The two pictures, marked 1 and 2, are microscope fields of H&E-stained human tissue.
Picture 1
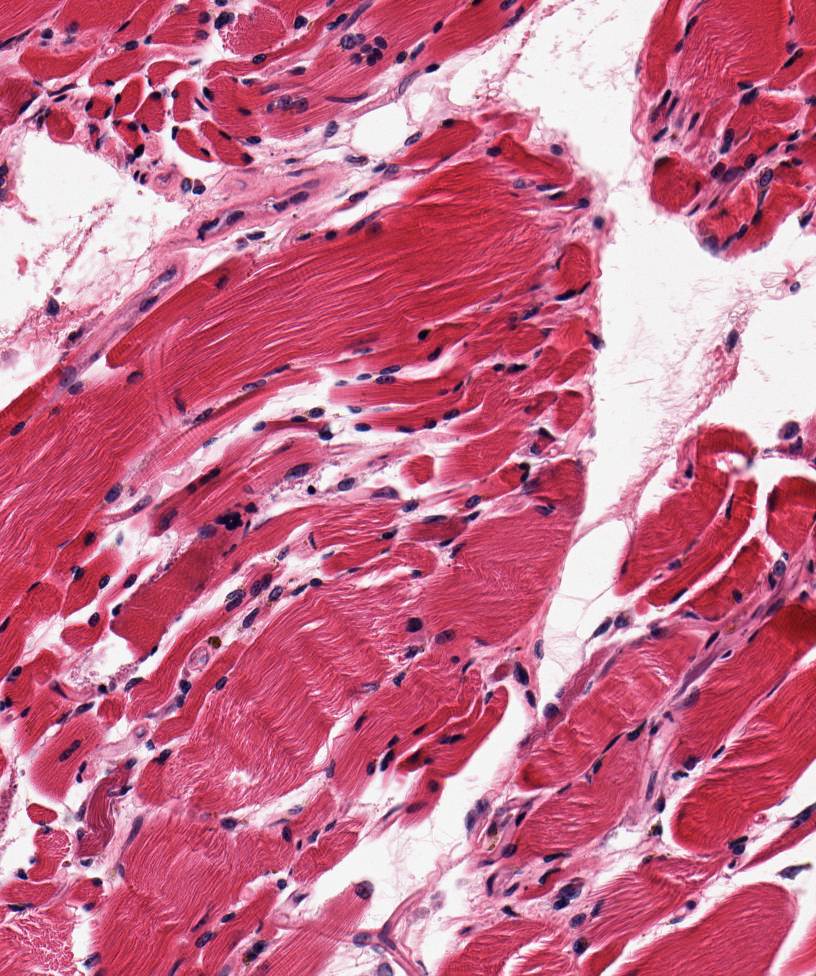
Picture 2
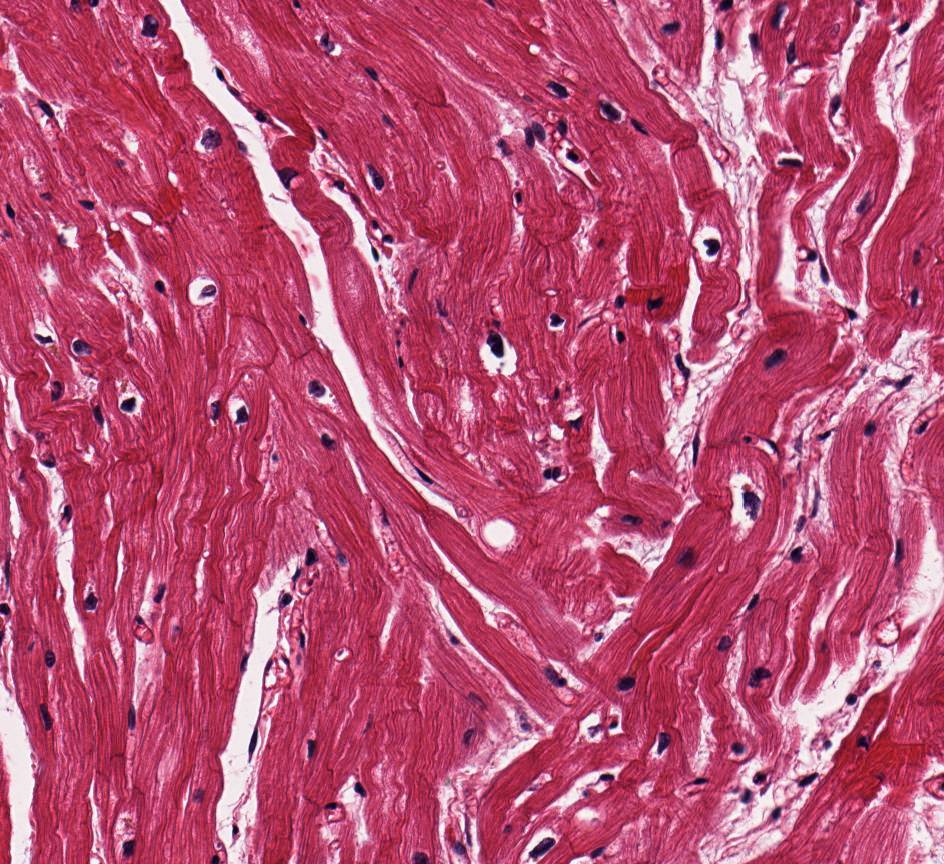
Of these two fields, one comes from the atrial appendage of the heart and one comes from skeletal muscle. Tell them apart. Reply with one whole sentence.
Picture 1 comes from skeletal muscle and picture 2 comes from the atrial appendage of the heart.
